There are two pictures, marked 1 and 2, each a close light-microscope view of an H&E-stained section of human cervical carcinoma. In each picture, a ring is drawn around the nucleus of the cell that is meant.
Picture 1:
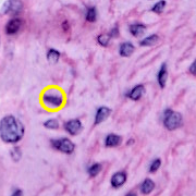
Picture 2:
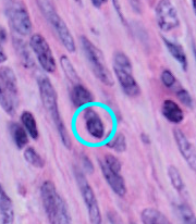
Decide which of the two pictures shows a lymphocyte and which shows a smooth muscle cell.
1: smooth muscle cell
2: lymphocyte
